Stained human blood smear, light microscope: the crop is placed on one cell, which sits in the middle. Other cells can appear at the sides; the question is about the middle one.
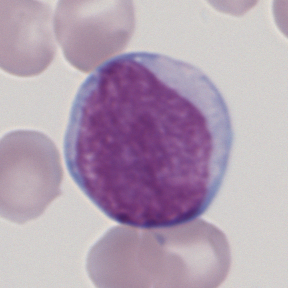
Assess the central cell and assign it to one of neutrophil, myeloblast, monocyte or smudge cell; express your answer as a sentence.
Seen at the centre of the crop is a myeloblast.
